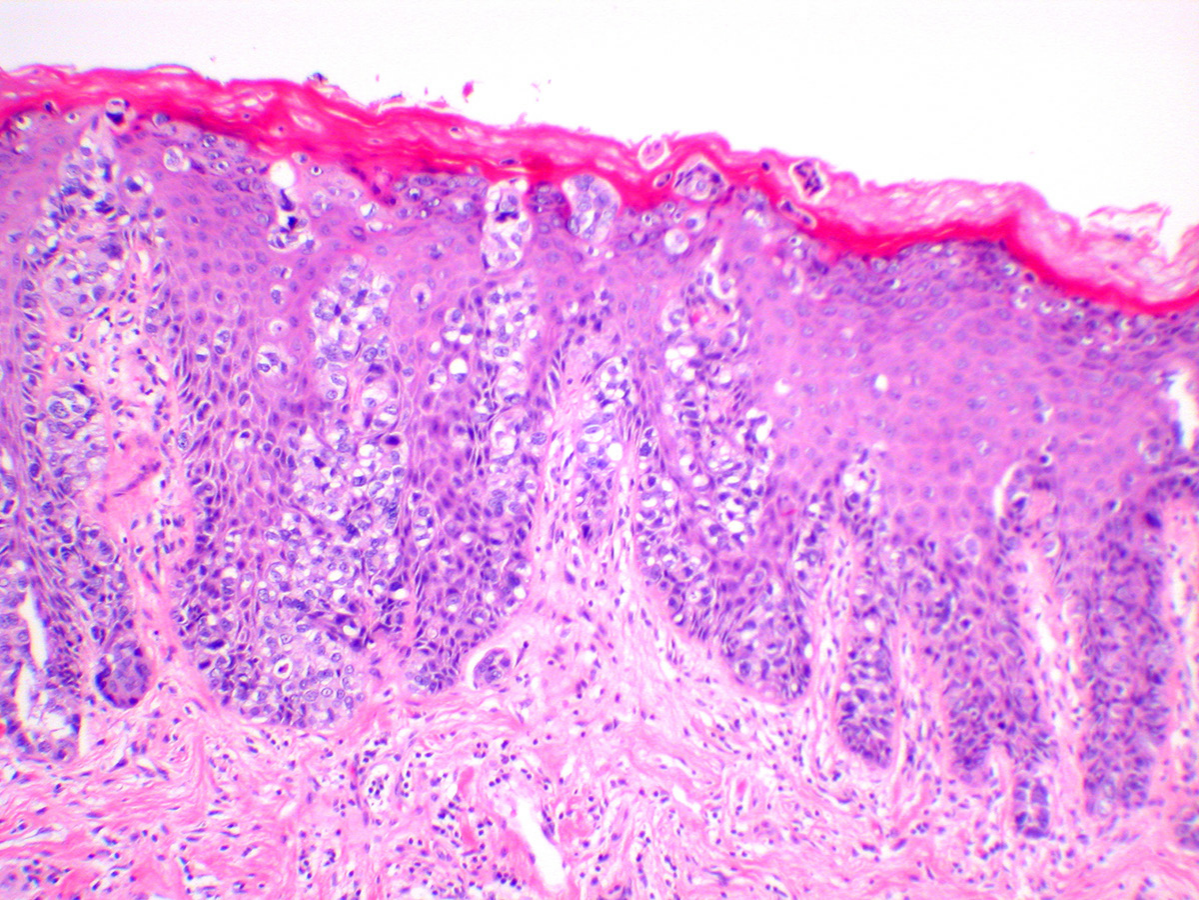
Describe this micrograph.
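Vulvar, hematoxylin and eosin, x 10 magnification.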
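The epidermis is thickened, with long rete ridges pushing down into a pink fibrous dermis, and a compact bright pink keratin layer covers the surface. Large round cells with abundant pale to clear, somewhat bubbly cytoplasm and large nuclei lie among the smaller, pinker squamous cells. They are most crowded in the lower epidermis and along the rete ridges, where they form nests and sheets. Single cells and small clusters also lie higher up, some just beneath the keratin layer. The dermis below holds scattered small dark inflammatory cells and small vessels.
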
